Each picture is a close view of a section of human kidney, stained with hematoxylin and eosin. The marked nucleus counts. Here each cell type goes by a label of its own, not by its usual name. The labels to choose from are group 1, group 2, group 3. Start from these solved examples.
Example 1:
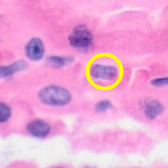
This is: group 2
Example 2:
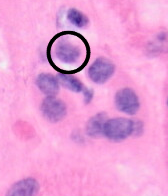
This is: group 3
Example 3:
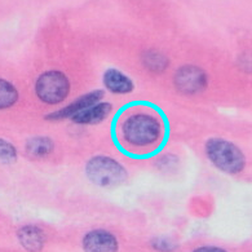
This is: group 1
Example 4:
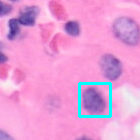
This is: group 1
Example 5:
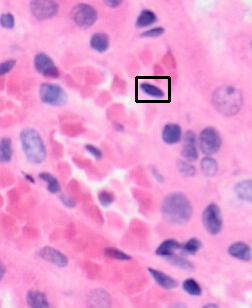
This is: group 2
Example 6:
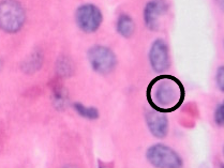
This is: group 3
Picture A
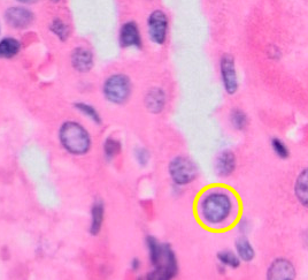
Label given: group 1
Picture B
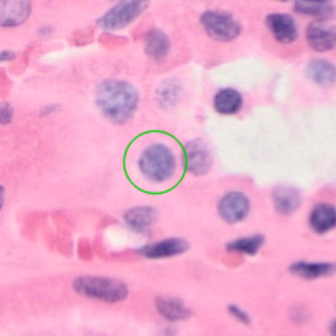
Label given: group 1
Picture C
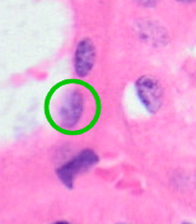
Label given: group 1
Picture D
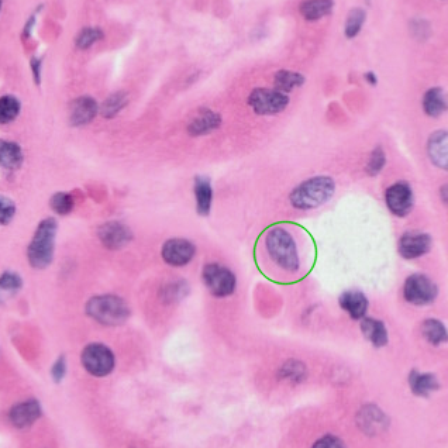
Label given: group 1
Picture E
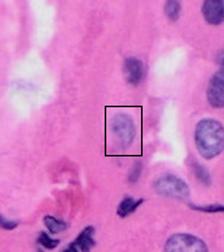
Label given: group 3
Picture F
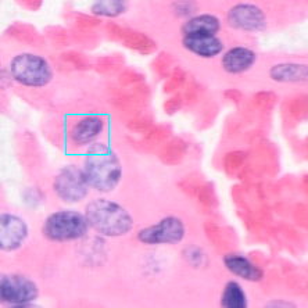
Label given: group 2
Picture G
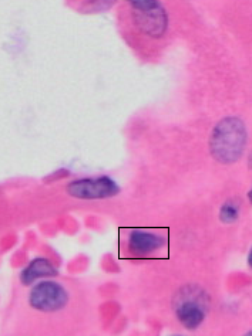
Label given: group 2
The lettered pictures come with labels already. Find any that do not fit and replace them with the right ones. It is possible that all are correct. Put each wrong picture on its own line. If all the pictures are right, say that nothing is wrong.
F: not group 2 but group 3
